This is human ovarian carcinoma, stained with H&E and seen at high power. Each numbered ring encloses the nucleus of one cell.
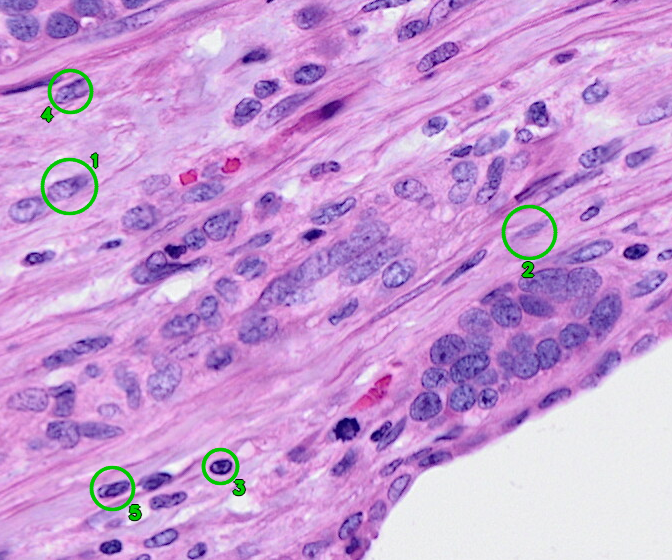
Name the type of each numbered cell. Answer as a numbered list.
1. fibroblast
2. fibroblast
3. lymphocyte
4. fibroblast
5. lymphocyte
